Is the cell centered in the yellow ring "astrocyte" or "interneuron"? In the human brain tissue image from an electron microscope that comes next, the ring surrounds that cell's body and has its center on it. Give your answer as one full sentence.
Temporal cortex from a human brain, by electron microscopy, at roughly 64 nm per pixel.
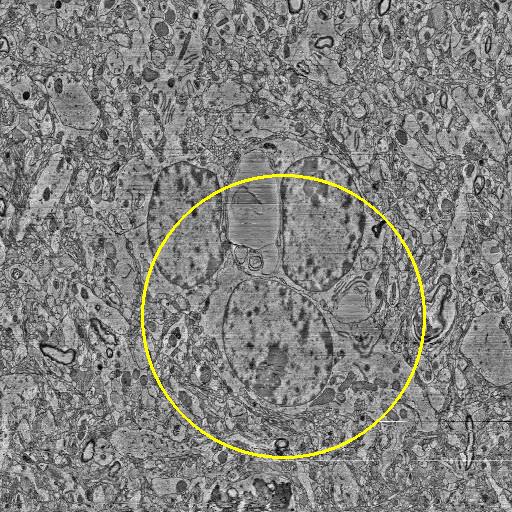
The cell at the center of the yellow ring is an astrocyte in the micrograph.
